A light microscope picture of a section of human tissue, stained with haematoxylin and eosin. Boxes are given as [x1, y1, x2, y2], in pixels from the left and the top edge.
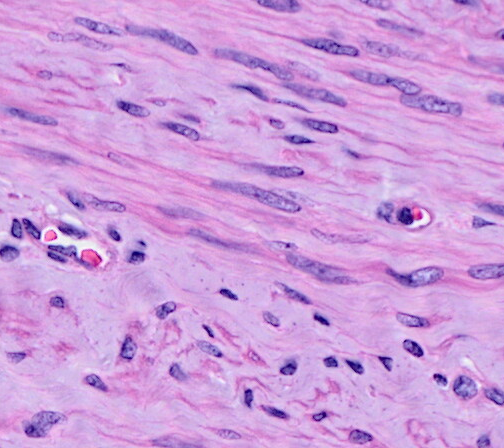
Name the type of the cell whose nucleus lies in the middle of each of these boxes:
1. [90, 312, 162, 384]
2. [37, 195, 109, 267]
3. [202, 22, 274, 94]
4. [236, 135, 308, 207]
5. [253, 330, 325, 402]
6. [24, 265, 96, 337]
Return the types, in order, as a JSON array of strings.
["smooth muscle cell", "endothelial cell", "smooth muscle cell", "smooth muscle cell", "fibroblast", "smooth muscle cell"]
